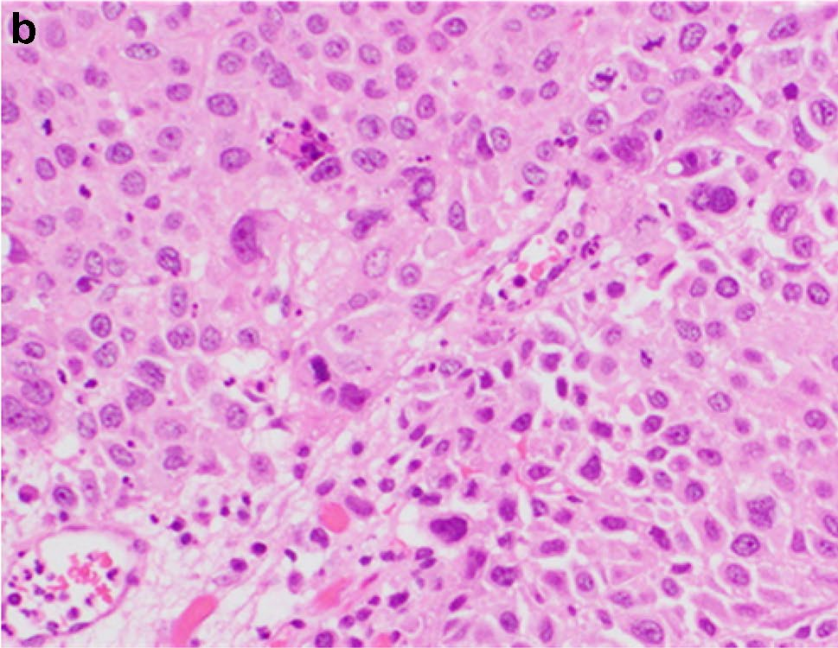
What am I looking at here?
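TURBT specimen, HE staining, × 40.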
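Sheets of large tumour cells with ample pink cytoplasm and round to oval nuclei that vary markedly in size and shape, many with distinct nucleoli. Scattered cells have very large, dark or bizarre nuclei, and several show clumped dark chromosomes of dividing cells. Small blood vessels with red cells and some small dark inflammatory cells lie between the tumour cells.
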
